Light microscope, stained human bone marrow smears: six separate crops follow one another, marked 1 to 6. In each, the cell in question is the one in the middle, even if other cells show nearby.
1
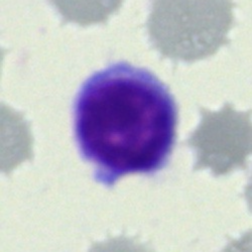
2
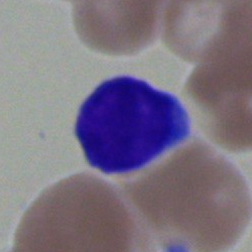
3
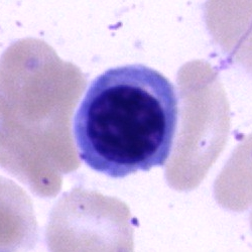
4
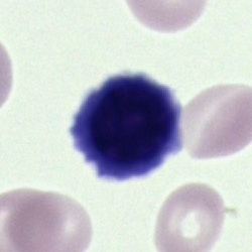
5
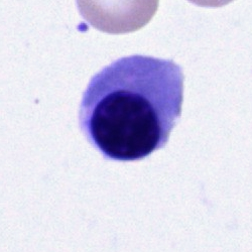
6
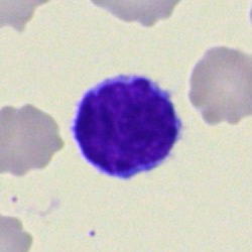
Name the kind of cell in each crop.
1: lymphocyte
2: lymphocyte
3: normoblast
4: normoblast
5: normoblast
6: lymphocyte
